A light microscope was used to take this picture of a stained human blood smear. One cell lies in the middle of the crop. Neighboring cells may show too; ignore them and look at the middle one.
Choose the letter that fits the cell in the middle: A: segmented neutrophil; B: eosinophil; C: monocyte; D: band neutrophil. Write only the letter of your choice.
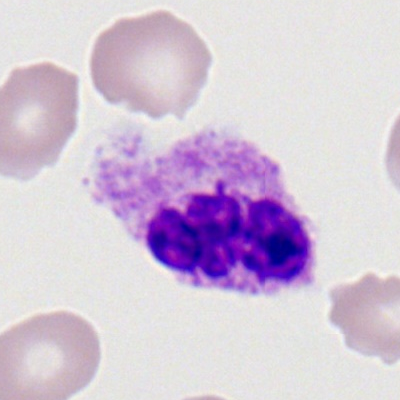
A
